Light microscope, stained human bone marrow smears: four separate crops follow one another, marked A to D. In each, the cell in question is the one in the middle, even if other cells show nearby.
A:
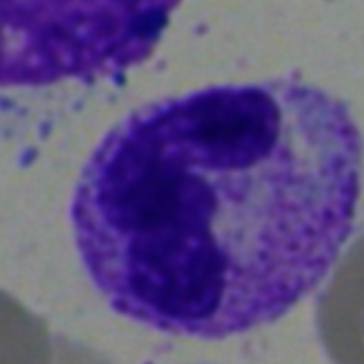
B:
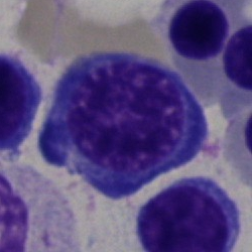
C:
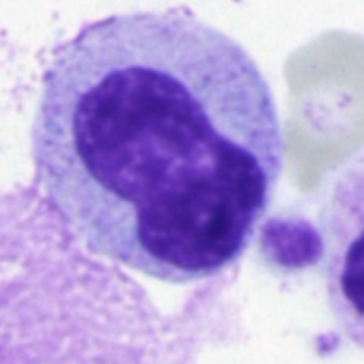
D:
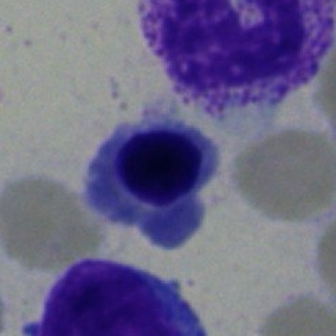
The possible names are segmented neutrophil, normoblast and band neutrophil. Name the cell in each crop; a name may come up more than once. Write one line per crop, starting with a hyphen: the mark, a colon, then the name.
- A: segmented neutrophil
- B: normoblast
- C: band neutrophil
- D: normoblast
